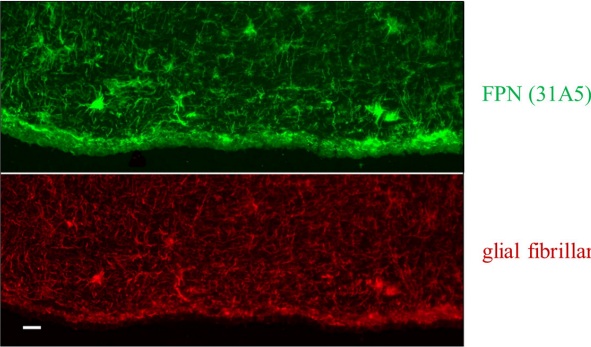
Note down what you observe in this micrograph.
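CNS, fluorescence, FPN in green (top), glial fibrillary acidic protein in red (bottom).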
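Between the cell bodies, the processes interweave into a fine meshwork filling the tissue. Along the lower edge runs a dense, bright band where processes crowd together at the tissue's border. The pattern of bodies and processes matches closely between the green and red images.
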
